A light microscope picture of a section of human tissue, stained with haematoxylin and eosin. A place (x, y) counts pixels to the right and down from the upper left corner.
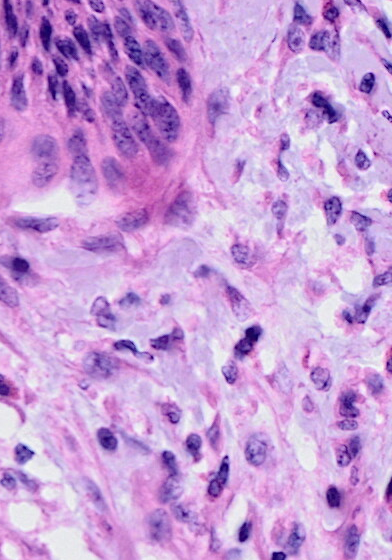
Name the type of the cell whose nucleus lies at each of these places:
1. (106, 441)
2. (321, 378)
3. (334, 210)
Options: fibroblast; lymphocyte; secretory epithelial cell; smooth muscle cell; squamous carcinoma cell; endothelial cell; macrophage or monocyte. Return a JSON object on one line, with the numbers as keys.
{"1": "lymphocyte", "2": "macrophage or monocyte", "3": "macrophage or monocyte"}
